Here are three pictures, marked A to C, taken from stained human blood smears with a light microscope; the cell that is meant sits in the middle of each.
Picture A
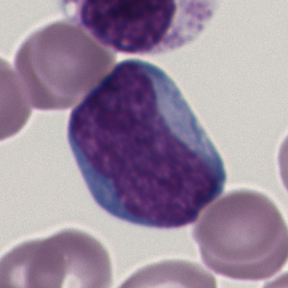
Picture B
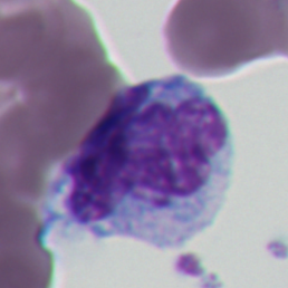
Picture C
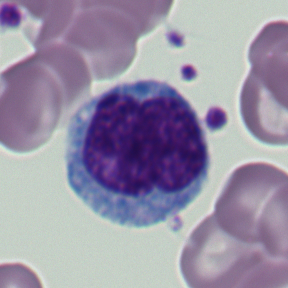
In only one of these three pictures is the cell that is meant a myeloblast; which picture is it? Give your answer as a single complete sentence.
The cell in picture A is the myeloblast.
